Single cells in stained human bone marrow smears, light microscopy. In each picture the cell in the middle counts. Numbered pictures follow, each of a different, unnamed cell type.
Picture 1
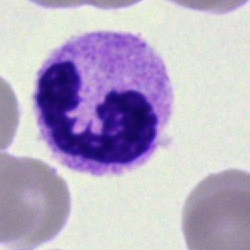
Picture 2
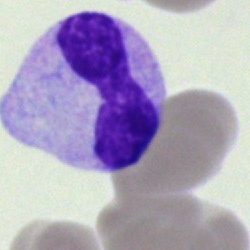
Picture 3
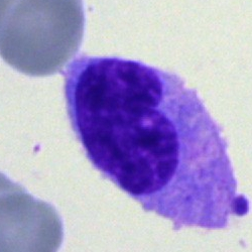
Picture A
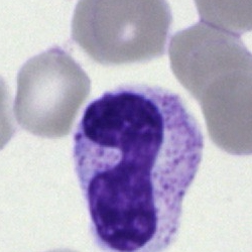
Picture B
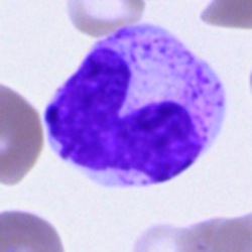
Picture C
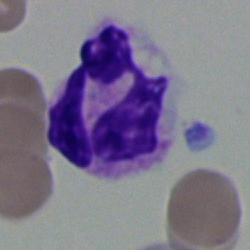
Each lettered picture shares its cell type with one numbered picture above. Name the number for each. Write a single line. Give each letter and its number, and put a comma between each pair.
A 2, B 2, C 1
